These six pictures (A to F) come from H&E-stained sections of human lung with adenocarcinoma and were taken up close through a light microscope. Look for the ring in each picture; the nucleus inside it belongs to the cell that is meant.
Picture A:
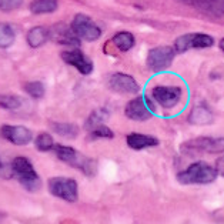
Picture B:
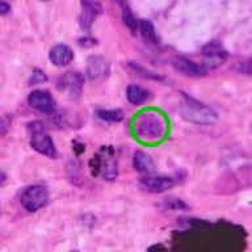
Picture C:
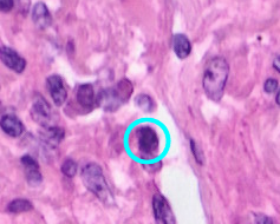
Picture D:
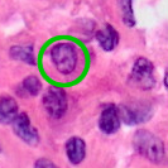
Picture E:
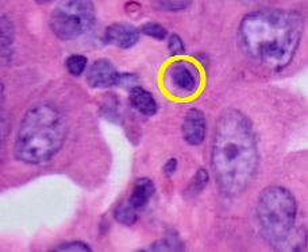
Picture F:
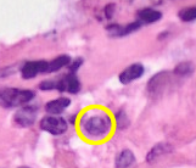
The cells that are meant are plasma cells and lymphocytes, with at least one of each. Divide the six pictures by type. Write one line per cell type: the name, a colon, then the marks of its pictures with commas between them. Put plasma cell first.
plasma cell: B, C, D
lymphocyte: A, E, F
